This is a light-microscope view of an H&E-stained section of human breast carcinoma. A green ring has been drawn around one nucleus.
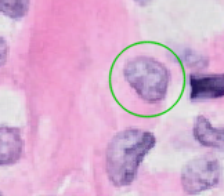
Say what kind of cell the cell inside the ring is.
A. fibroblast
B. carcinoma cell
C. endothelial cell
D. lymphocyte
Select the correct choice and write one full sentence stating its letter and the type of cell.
Since the cell inside the ring is a carcinoma cell, the right option is B.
